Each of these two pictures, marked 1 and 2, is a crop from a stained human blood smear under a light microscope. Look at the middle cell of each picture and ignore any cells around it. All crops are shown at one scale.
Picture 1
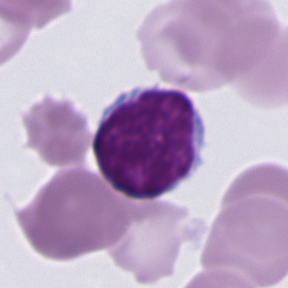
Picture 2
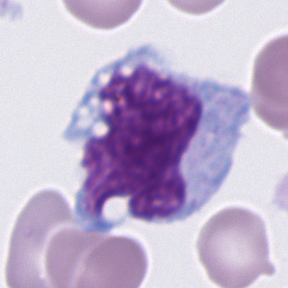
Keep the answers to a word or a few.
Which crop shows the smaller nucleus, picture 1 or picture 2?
1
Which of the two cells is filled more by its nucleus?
1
